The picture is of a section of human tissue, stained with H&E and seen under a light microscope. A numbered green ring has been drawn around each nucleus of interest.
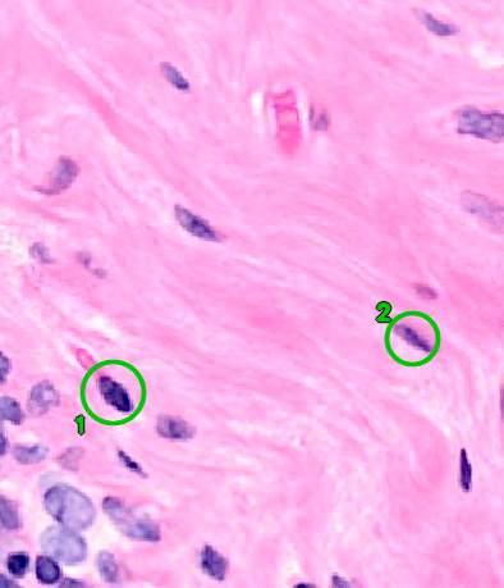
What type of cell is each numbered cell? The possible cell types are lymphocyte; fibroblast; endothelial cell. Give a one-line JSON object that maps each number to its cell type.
{"1": "lymphocyte", "2": "fibroblast"}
